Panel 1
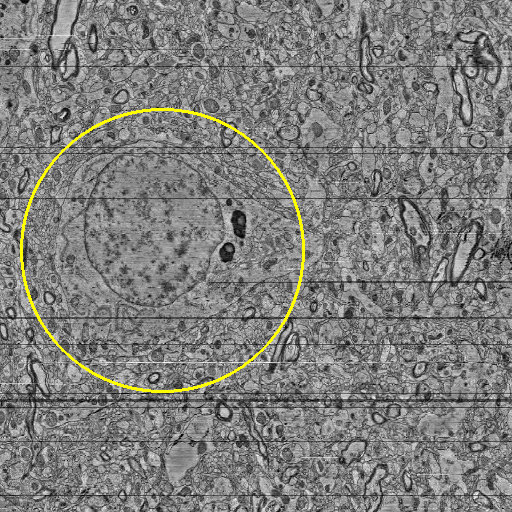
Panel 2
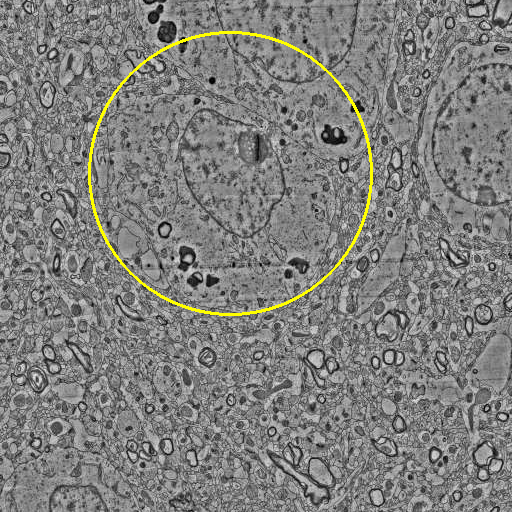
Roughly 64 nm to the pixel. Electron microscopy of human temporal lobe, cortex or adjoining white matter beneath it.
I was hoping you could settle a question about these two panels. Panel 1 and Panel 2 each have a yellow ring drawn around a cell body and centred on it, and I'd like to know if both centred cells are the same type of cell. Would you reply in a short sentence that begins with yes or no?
Yes, both are the same type of cell.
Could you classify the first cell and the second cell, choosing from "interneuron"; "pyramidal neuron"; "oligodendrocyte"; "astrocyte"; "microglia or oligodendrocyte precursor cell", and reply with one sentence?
Each of the two cells is a pyramidal neuron.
